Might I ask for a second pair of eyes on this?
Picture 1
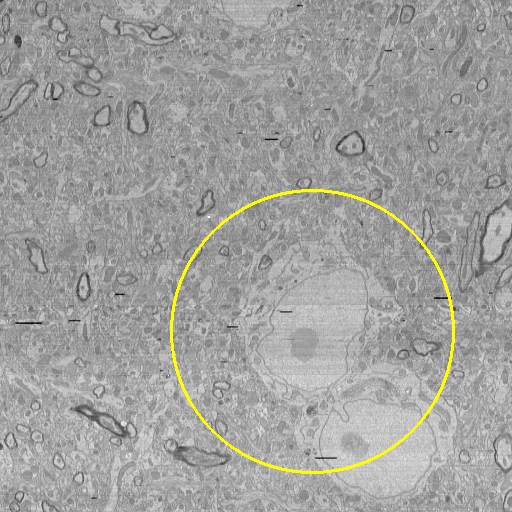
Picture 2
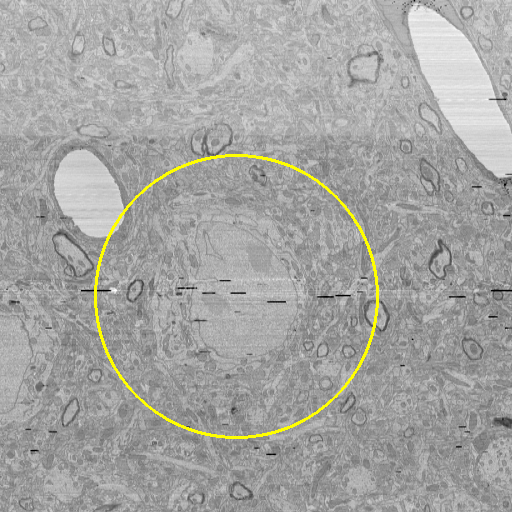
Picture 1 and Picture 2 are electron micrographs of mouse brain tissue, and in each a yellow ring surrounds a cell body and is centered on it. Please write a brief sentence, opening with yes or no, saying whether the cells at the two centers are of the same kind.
No, the cells are of two kinds.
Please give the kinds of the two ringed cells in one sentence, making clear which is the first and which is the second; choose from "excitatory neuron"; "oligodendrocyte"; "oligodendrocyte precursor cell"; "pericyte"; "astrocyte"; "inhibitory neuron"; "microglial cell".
In the second picture the ringed cell is an inhibitory neuron; in the first it is an excitatory neuron.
